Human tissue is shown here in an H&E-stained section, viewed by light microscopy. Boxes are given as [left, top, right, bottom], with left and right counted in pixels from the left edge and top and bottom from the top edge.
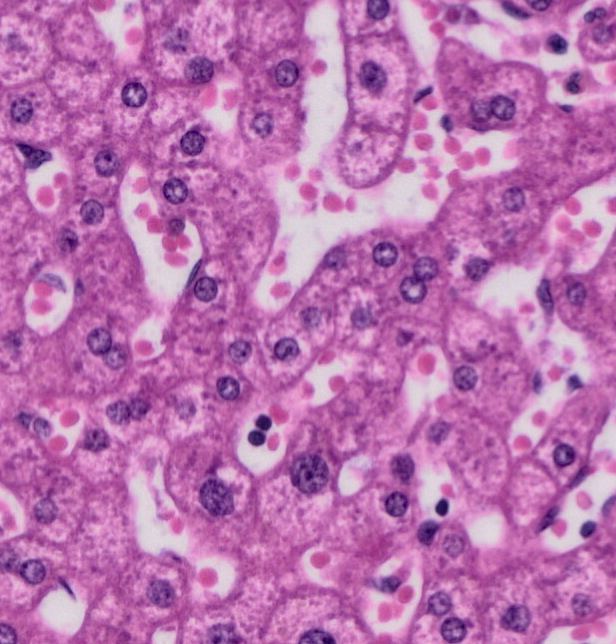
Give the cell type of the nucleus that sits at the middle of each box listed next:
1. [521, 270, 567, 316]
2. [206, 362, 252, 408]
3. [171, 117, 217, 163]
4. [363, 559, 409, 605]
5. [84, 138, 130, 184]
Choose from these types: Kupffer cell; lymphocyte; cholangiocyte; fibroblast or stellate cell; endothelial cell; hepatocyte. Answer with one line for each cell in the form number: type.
1: Kupffer cell
2: hepatocyte
3: hepatocyte
4: Kupffer cell
5: hepatocyte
